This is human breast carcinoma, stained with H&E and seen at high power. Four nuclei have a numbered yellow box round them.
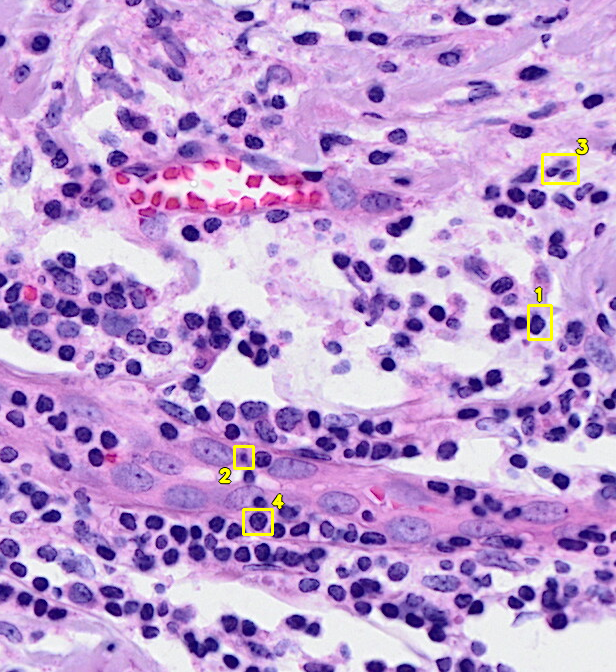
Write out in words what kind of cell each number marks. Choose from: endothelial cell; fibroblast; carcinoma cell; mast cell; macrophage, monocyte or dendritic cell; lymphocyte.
Cells 1, 3 and 4 are lymphocytes. Cell 2 is an endothelial cell.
